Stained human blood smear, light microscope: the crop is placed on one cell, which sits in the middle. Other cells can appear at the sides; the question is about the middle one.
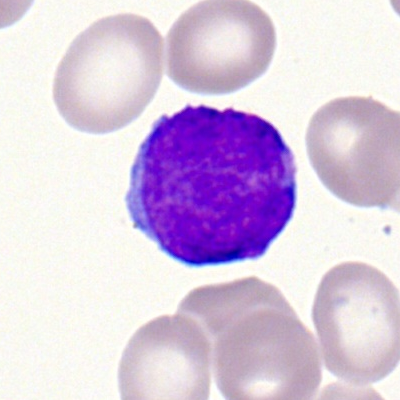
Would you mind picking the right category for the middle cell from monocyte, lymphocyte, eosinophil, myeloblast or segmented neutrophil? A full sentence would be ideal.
Here the cell in the middle is a myeloblast.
